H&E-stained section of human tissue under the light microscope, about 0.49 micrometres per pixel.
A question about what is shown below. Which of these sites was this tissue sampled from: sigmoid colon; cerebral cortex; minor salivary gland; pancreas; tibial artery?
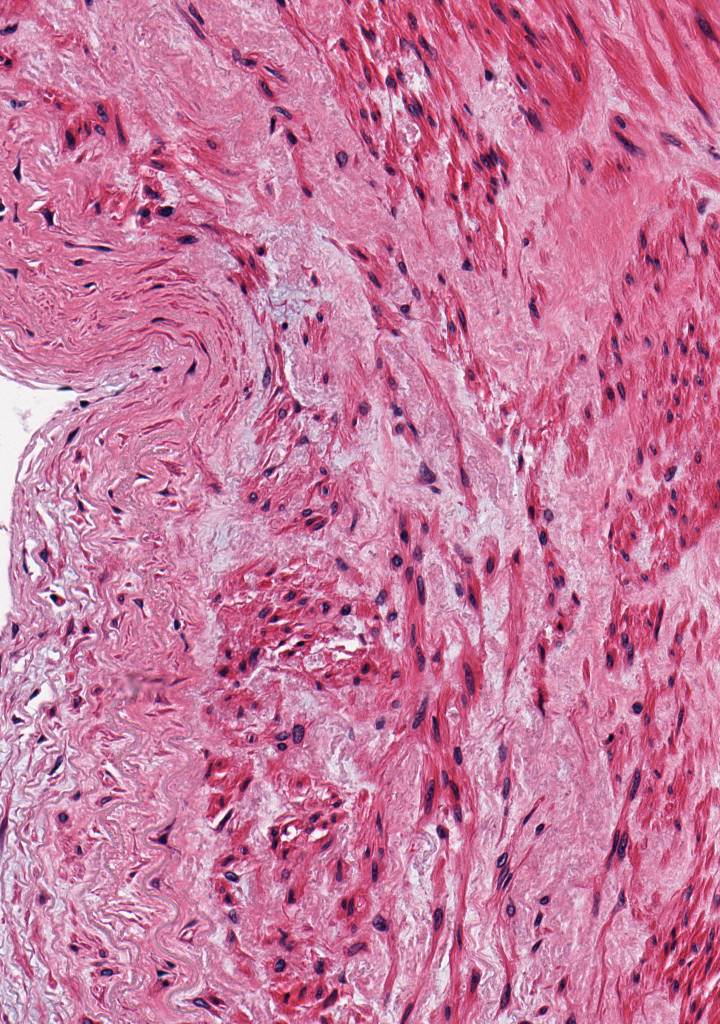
tibial artery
